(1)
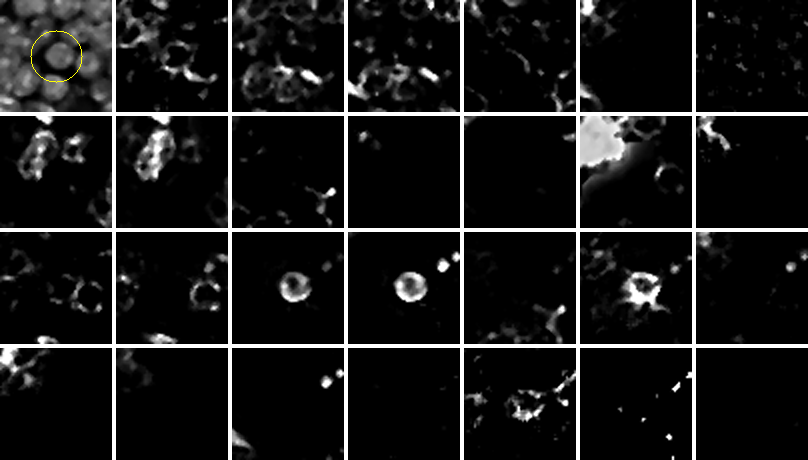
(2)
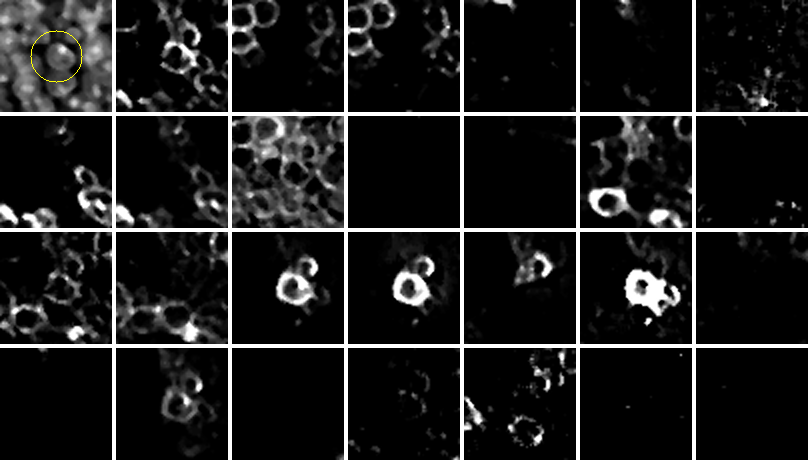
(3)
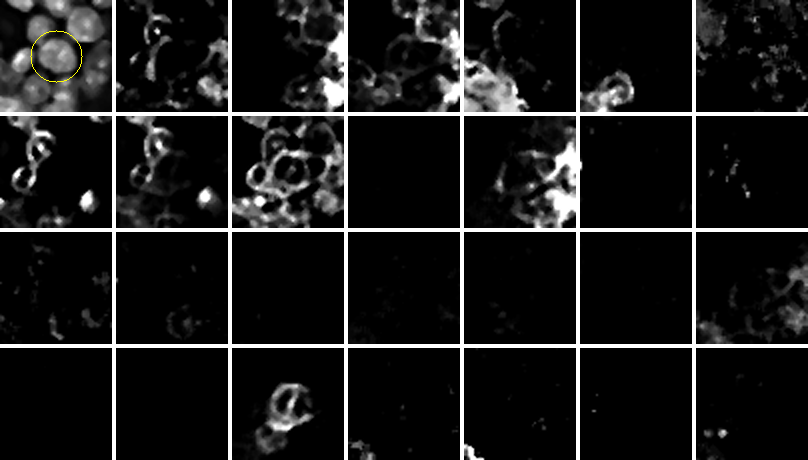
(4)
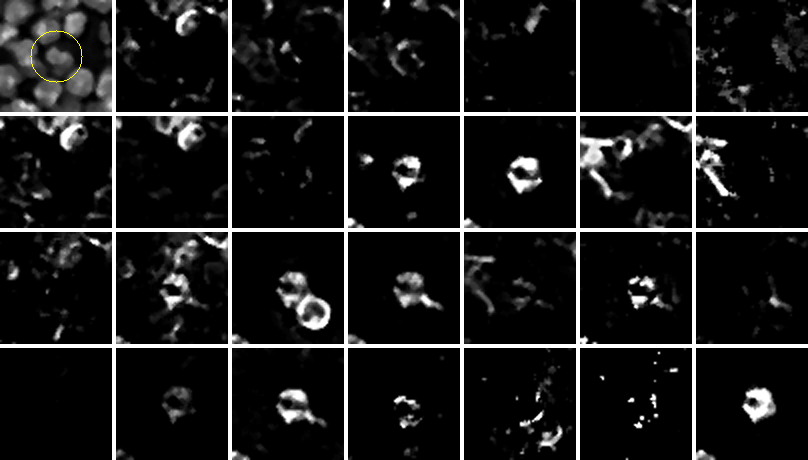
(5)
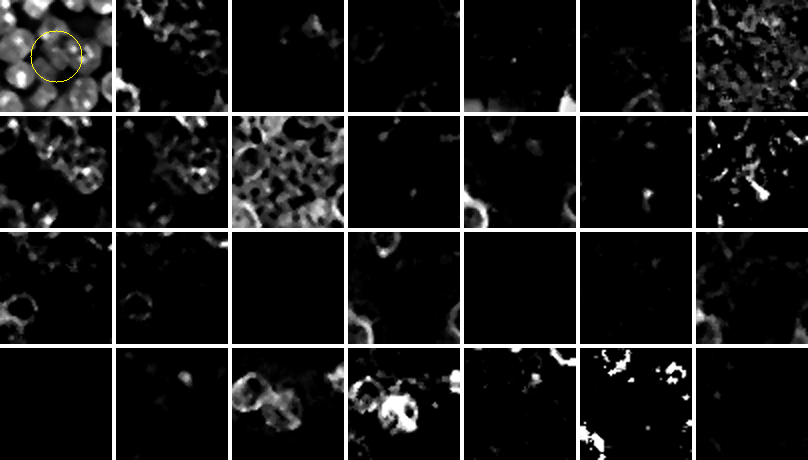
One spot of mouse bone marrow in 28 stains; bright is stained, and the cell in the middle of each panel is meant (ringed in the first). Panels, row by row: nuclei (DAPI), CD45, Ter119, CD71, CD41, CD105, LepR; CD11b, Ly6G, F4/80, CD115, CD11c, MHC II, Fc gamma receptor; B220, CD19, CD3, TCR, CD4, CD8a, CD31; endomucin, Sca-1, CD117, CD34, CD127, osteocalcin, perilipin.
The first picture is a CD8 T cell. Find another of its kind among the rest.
Picture 2.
